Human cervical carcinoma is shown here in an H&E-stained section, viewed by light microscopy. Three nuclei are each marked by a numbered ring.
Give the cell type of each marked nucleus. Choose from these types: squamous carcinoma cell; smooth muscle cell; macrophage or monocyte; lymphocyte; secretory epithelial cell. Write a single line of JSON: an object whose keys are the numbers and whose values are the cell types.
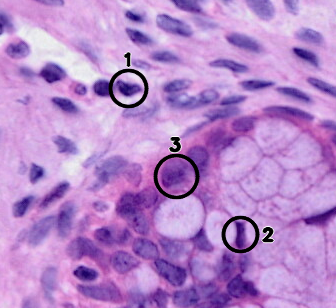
{"1": "lymphocyte", "2": "secretory epithelial cell", "3": "secretory epithelial cell"}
